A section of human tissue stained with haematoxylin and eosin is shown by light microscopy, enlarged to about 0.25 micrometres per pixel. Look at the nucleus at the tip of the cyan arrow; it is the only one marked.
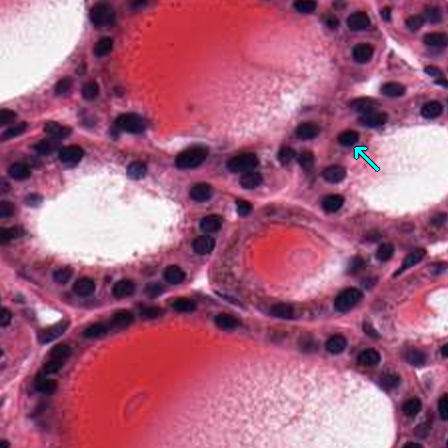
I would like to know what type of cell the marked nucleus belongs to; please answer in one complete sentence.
A nucleus belonging to a thyroid follicular cell is the one marked.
